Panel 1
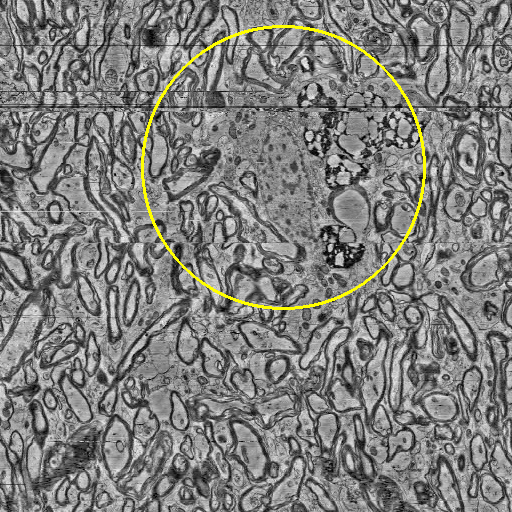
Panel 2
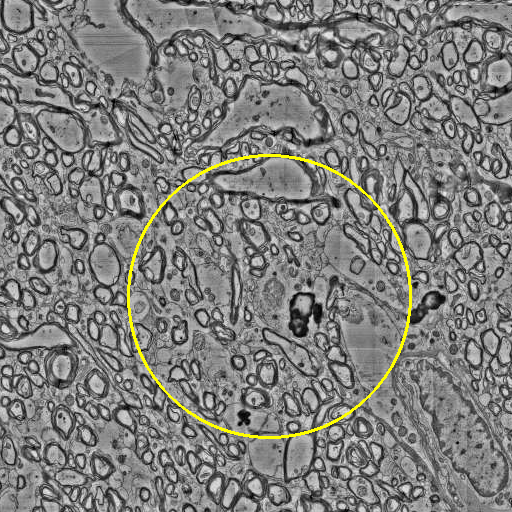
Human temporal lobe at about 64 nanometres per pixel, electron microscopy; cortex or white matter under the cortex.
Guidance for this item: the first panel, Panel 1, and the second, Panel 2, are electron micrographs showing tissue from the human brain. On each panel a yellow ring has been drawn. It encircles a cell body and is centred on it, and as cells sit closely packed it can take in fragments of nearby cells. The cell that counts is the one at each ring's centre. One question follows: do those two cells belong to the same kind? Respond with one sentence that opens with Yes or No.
No, the cells at the ring centres in Panel 1 and Panel 2 are of two kinds.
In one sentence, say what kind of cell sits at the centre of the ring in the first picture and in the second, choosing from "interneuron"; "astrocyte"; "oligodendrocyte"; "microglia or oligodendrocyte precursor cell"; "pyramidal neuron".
The first picture's ringed cell is an astrocyte, while the second picture's is an oligodendrocyte.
